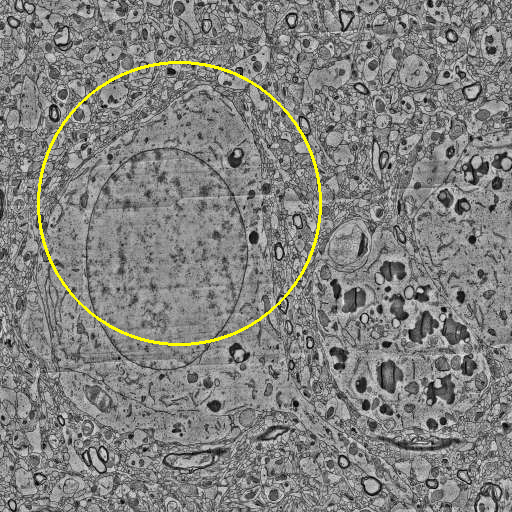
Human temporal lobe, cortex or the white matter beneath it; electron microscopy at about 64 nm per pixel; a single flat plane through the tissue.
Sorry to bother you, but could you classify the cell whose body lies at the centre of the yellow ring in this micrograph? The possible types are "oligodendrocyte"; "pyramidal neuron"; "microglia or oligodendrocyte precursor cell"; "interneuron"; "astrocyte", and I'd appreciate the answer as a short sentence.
The ringed cell body is that of a pyramidal neuron.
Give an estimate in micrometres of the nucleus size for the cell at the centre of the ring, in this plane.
In this plane, the nucleus of the cell at the centre of the ring measures about 14 by 10 micrometres.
